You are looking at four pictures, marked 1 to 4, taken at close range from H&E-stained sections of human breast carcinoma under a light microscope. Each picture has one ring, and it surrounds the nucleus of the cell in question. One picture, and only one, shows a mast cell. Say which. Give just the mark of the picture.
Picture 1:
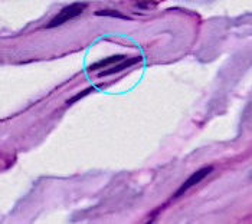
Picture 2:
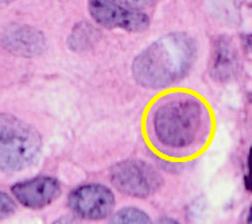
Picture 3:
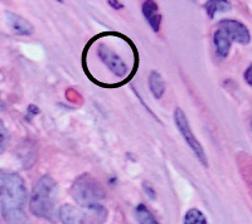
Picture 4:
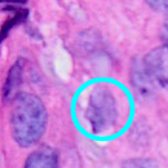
3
